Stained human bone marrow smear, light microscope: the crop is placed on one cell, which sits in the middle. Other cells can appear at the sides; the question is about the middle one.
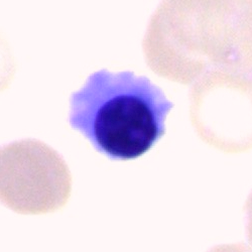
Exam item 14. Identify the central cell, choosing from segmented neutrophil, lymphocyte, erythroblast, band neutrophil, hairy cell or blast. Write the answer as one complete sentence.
The crop shows an erythroblast in its centre.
